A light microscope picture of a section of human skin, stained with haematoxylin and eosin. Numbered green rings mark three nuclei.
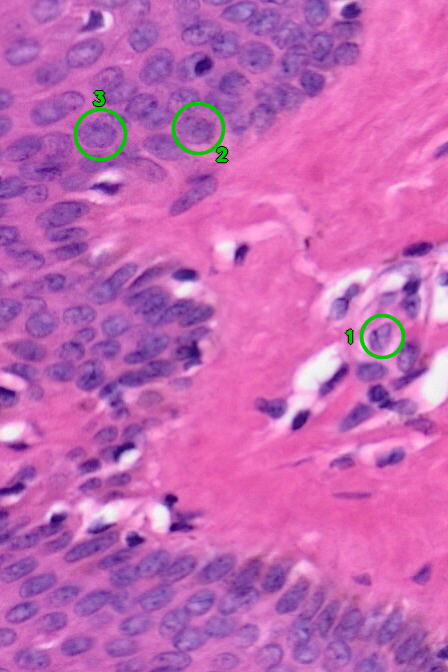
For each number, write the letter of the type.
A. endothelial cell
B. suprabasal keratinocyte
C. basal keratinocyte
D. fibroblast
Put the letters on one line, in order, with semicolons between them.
A; C; B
